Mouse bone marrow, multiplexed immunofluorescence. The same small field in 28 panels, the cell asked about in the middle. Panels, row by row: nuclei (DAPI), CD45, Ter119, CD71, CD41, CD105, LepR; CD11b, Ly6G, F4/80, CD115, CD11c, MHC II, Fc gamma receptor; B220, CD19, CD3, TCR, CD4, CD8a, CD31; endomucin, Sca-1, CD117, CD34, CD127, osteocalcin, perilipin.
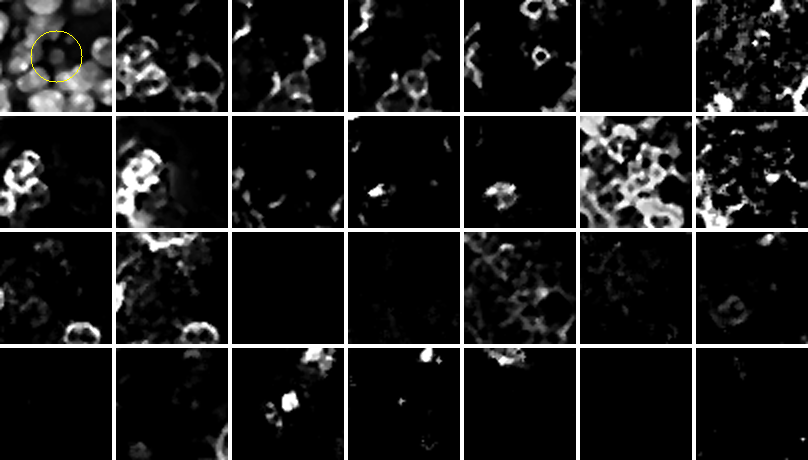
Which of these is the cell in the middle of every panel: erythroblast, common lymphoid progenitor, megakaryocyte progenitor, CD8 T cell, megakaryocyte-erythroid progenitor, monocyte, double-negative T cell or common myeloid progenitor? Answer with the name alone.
megakaryocyte-erythroid progenitor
